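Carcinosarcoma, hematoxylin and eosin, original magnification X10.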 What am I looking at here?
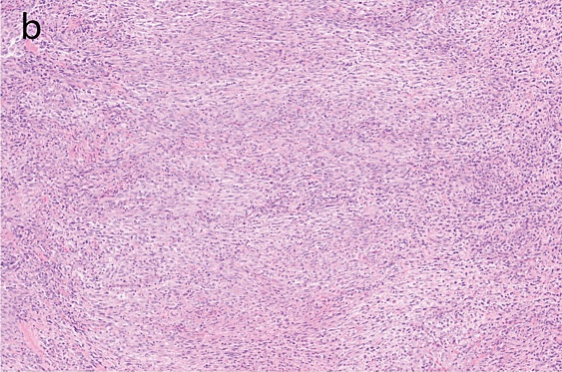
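This tumor is made of round to spindled cells set in a loosely fascicular pattern with paler, looser areas. A few pink strands of collagen lie among the cells.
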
